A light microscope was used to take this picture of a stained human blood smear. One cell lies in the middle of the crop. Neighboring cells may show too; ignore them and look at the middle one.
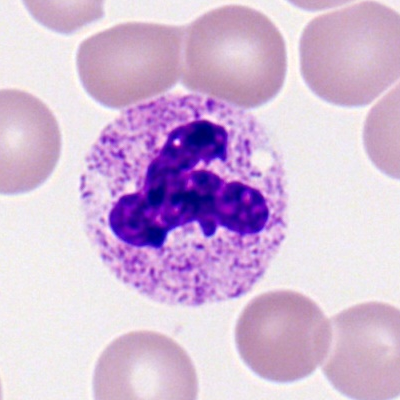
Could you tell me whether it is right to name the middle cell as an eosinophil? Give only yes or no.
no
